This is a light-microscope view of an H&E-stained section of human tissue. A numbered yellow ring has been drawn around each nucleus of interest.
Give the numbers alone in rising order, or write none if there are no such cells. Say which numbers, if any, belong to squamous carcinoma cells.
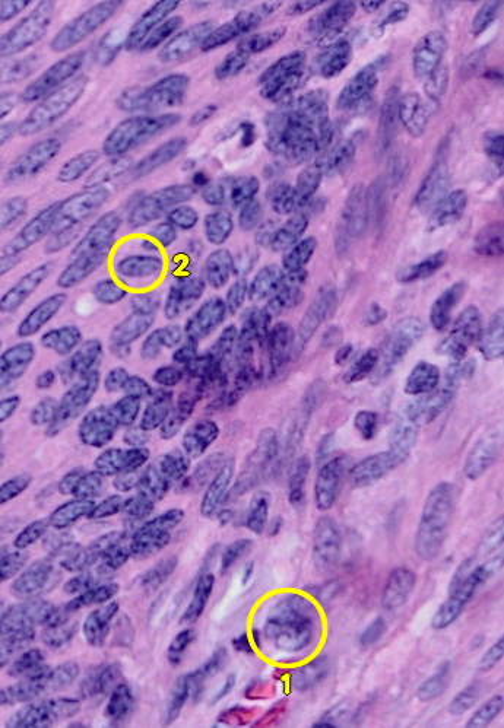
2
